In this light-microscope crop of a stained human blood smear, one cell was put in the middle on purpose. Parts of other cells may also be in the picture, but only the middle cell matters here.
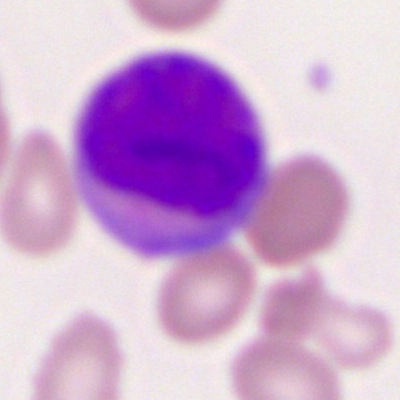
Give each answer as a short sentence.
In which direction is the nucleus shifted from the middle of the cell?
Toward the top of the cell lies its nucleus.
